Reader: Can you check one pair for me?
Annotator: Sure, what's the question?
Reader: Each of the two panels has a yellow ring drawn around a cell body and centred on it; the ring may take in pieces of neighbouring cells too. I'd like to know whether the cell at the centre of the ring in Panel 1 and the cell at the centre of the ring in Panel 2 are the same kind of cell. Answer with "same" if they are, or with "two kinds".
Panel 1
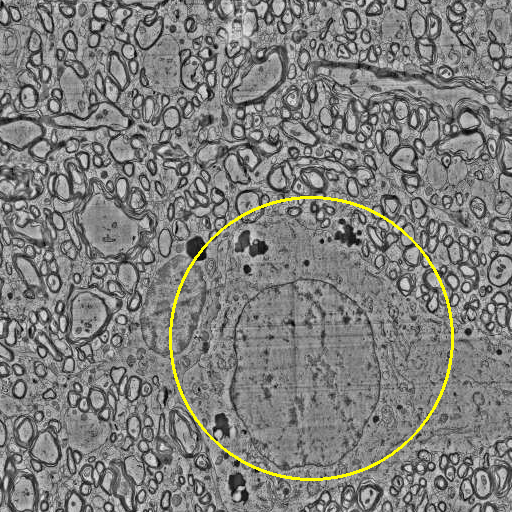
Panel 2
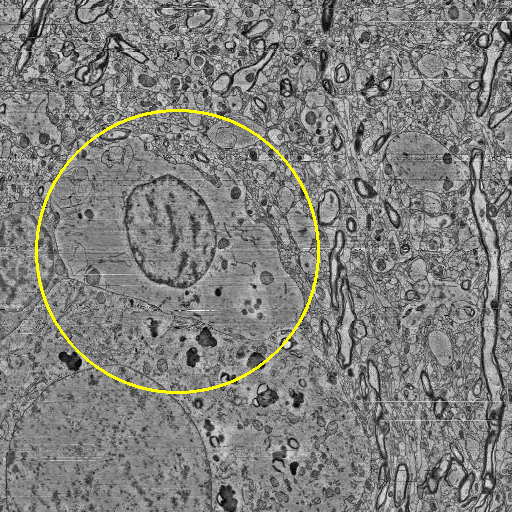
two kinds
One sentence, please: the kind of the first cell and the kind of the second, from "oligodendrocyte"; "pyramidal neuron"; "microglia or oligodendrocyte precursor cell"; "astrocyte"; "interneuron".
The ring in the first picture surrounds a pyramidal neuron, and the ring in the second surrounds an astrocyte.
